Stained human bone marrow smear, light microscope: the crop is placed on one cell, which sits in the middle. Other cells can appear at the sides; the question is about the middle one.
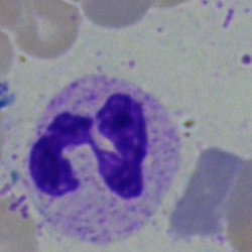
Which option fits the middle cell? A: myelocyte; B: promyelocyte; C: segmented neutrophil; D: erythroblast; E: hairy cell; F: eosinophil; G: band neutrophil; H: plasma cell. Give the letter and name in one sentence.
Occupying the middle of the crop is a segmented neutrophil, hence option C is correct.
